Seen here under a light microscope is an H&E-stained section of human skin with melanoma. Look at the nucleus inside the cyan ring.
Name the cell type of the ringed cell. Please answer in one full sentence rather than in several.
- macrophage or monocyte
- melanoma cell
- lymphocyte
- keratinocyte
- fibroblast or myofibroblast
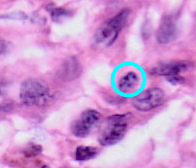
In this field of tissue, the ringed cell is a lymphocyte.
